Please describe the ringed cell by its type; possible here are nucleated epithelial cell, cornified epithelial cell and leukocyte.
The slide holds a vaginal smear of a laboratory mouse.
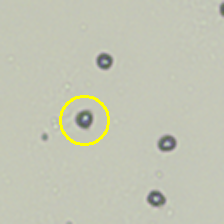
The yellow ring marks a leukocyte.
